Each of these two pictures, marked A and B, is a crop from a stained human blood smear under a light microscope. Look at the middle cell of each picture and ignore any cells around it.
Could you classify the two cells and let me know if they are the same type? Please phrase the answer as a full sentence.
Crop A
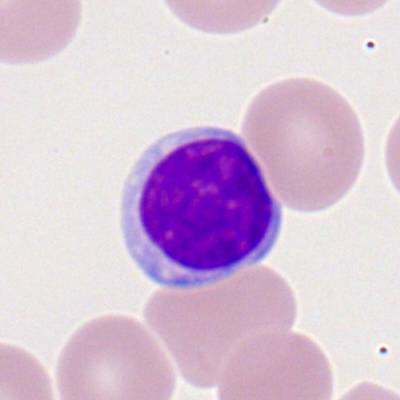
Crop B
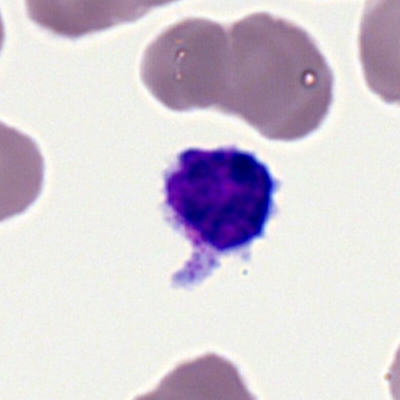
Yes, the central cells, in both crops, are lymphocytes.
